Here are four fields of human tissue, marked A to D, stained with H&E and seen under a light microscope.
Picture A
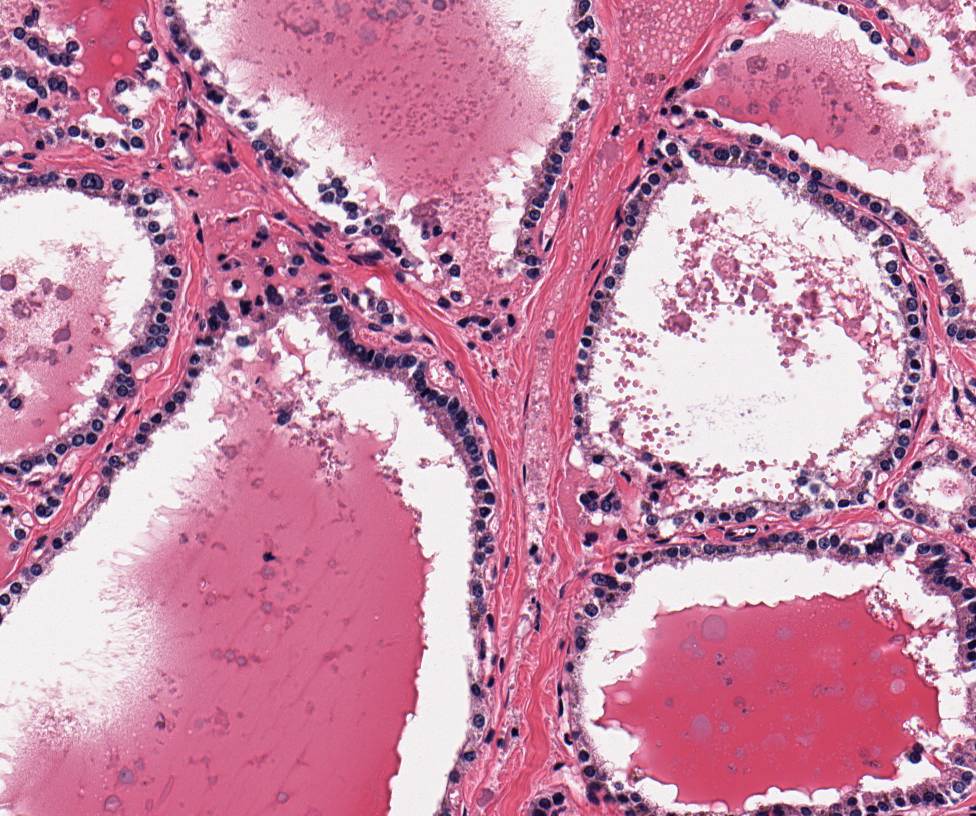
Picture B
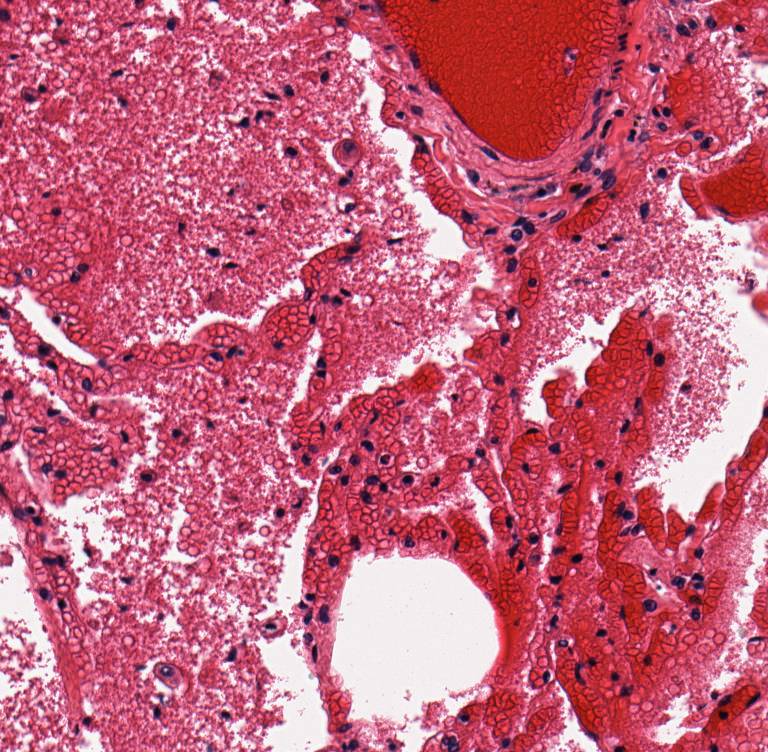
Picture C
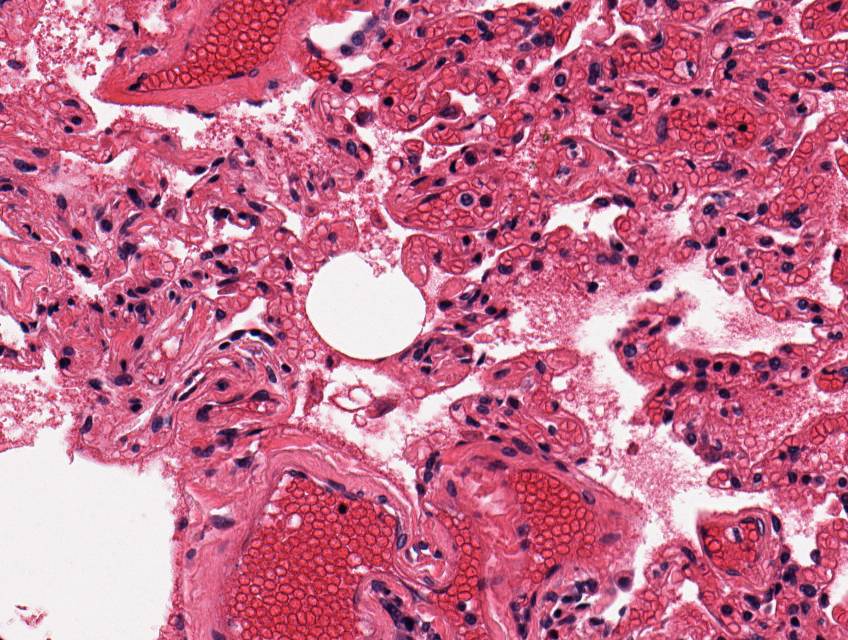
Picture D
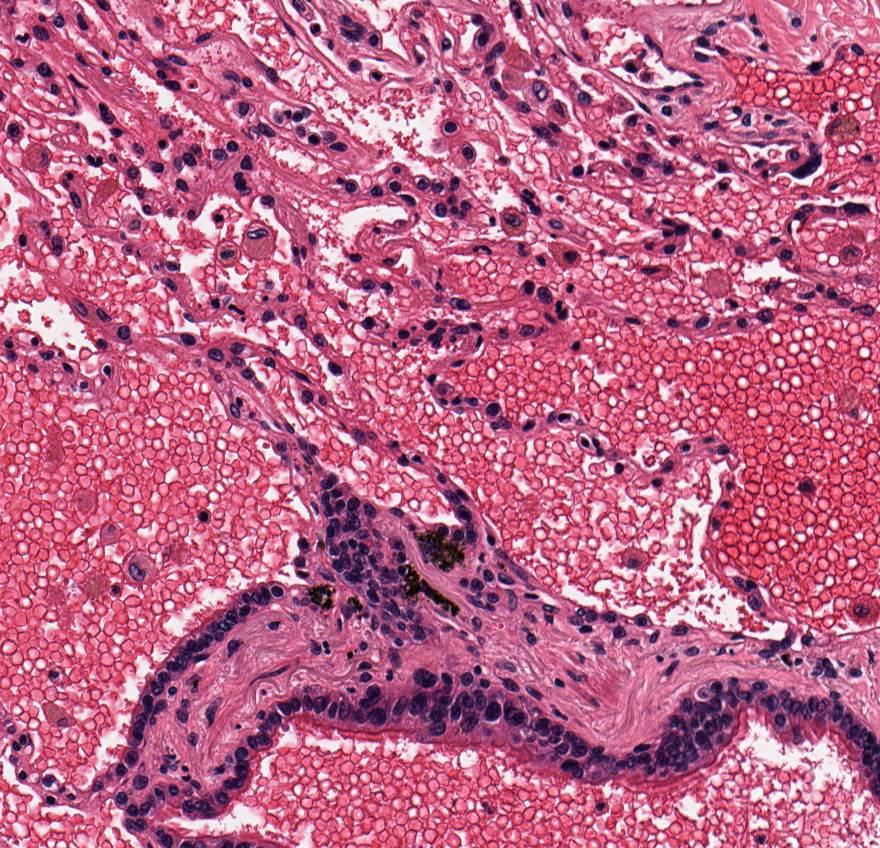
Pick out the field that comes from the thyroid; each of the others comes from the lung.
A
